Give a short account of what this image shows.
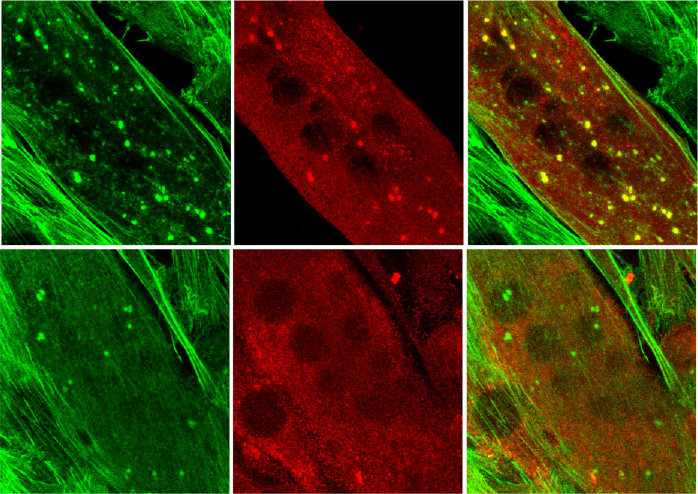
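These are elongated myotubes lying diagonally across the frames, each containing several dark, round nuclei in a row. In the upper row the red signal gathers into dots that coincide with the green dots and appear yellow in the merged image, whereas in the lower row the red signal is mostly diffuse and the green dots are fewer and rarely yellow.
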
